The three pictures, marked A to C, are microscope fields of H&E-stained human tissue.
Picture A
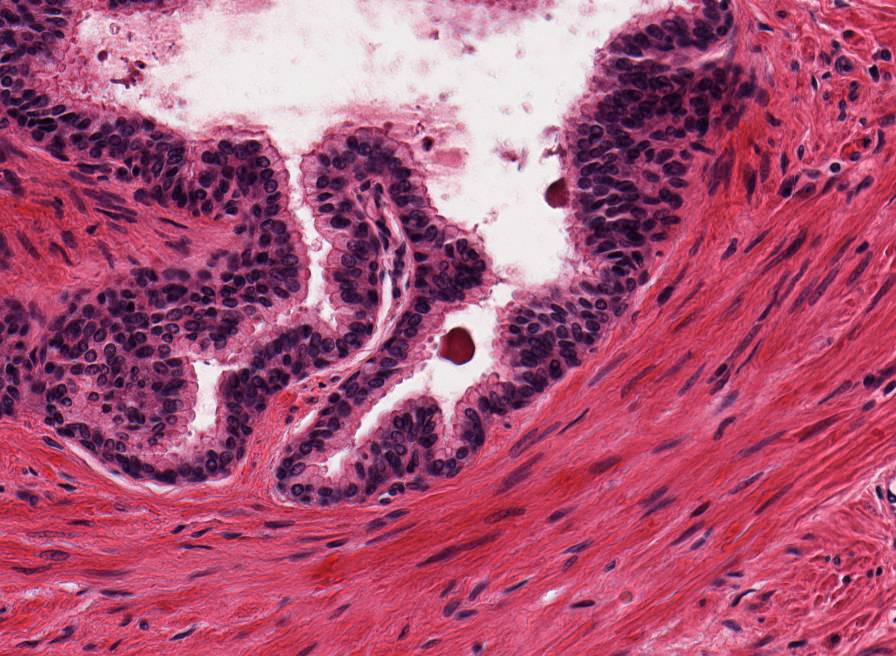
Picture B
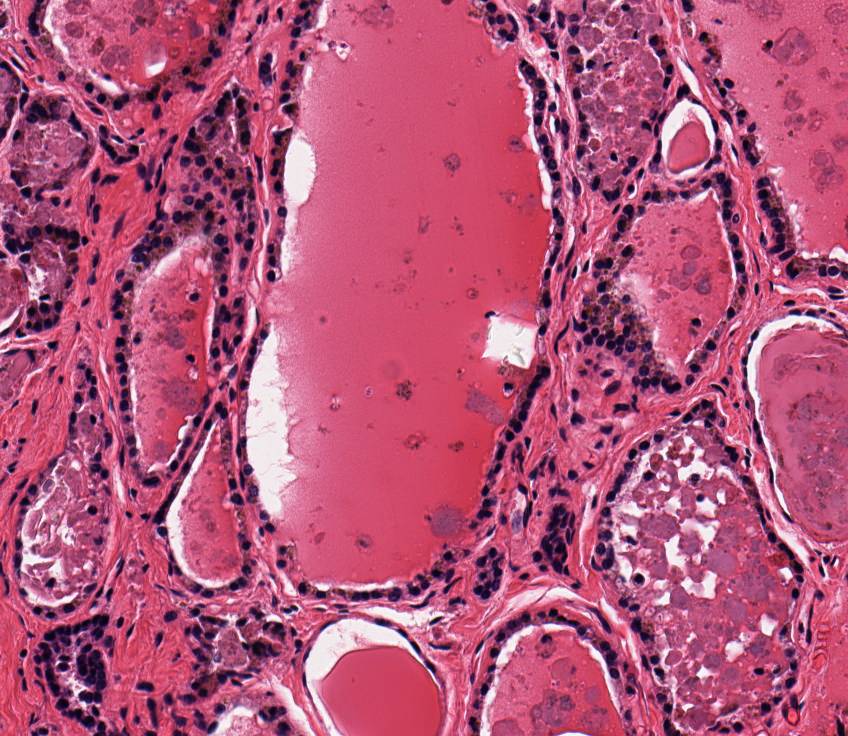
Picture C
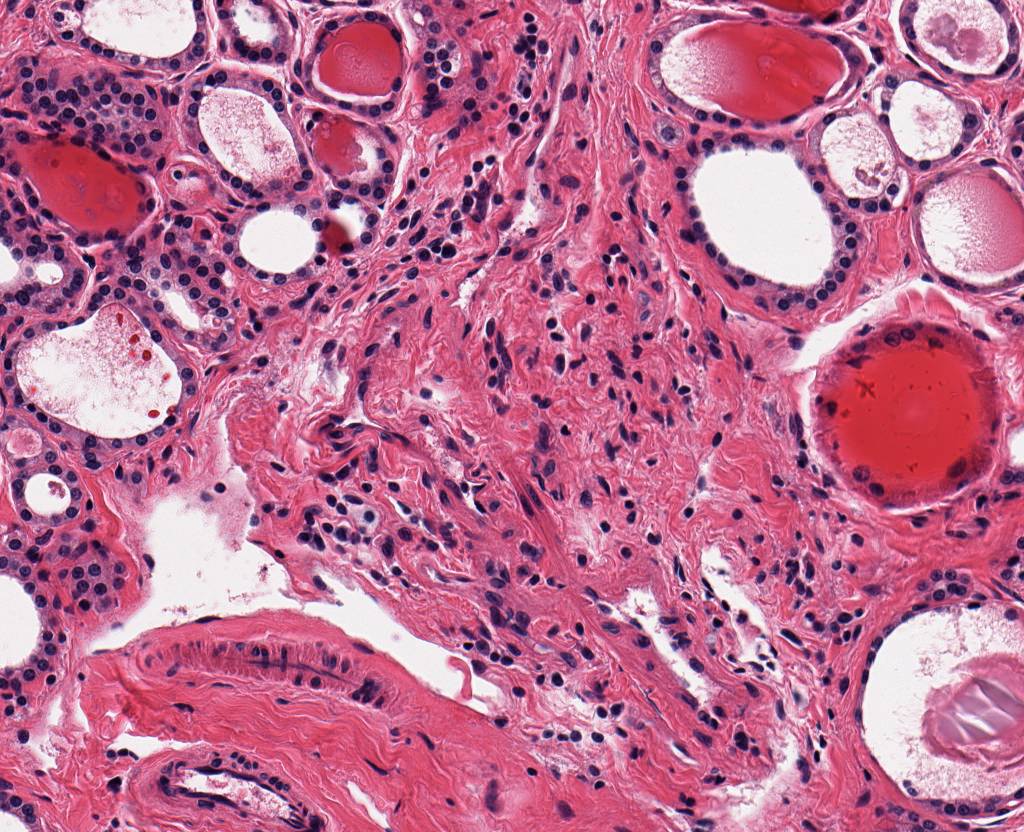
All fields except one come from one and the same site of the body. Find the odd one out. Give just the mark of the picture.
A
